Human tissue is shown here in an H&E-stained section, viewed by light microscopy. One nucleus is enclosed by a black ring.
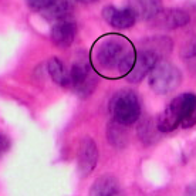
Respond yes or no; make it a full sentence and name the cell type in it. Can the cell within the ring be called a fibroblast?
No, judged by cell type, the cell within the ring is a carcinoma cell, not a fibroblast.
